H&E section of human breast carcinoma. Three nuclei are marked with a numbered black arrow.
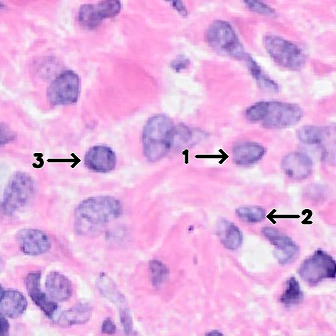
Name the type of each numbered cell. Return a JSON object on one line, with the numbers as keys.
{"1": "carcinoma cell", "2": "endothelial cell", "3": "carcinoma cell"}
